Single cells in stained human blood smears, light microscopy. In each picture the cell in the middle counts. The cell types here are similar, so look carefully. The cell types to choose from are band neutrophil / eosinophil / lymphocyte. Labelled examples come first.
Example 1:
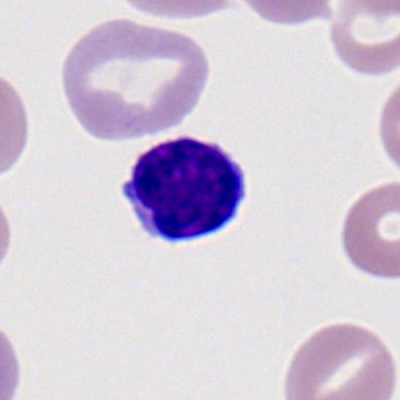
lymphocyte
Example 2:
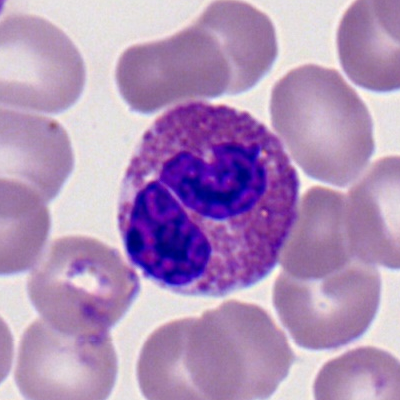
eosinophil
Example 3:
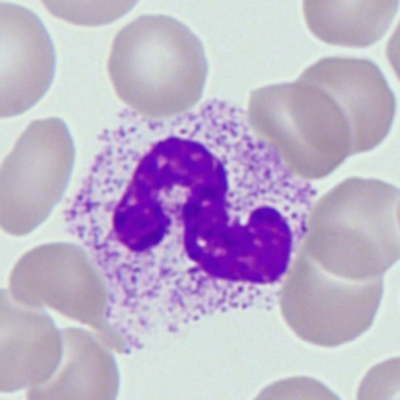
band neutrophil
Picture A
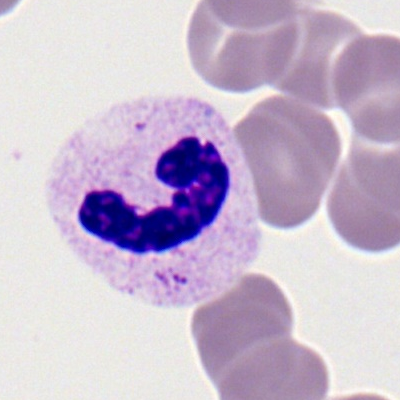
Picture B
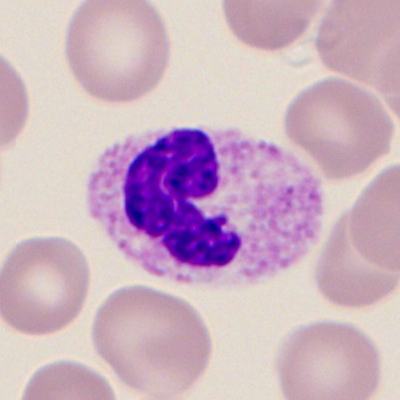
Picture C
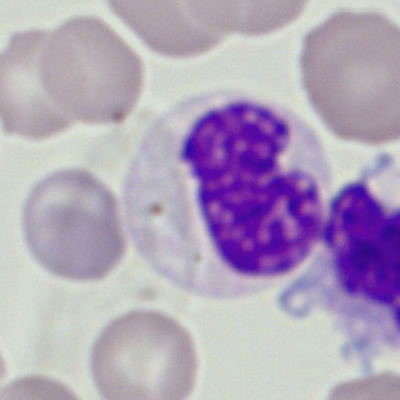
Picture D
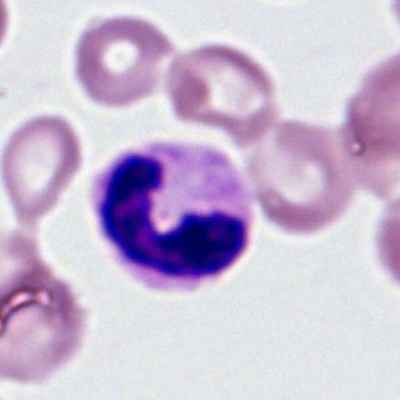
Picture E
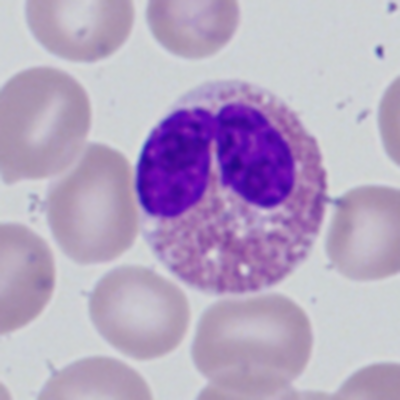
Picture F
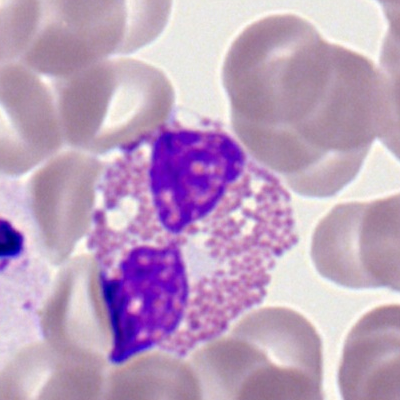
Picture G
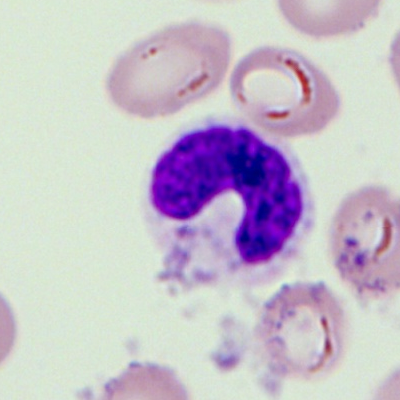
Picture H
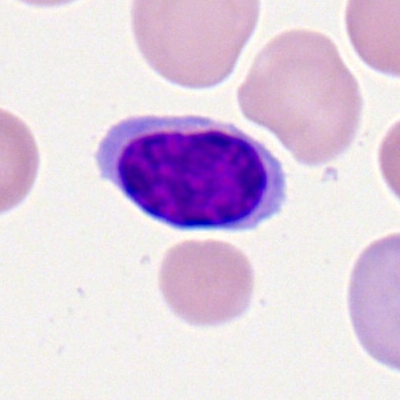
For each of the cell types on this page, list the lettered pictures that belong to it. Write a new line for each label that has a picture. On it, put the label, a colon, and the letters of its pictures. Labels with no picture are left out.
band neutrophil: A, B, C, D, G
eosinophil: E, F
lymphocyte: H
